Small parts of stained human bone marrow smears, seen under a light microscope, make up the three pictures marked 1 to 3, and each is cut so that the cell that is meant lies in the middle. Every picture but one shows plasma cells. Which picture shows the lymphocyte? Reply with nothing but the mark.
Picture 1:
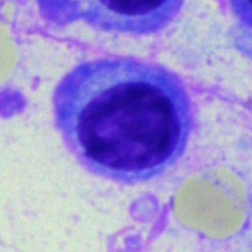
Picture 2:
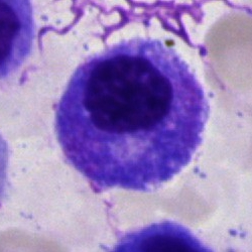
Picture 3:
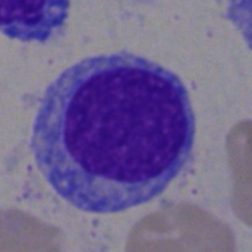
3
